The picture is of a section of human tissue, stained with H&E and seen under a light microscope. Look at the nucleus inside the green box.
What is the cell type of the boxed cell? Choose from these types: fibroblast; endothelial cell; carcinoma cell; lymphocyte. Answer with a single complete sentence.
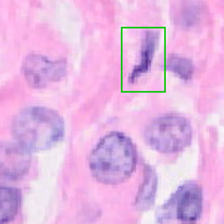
The cell meant here is a fibroblast.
